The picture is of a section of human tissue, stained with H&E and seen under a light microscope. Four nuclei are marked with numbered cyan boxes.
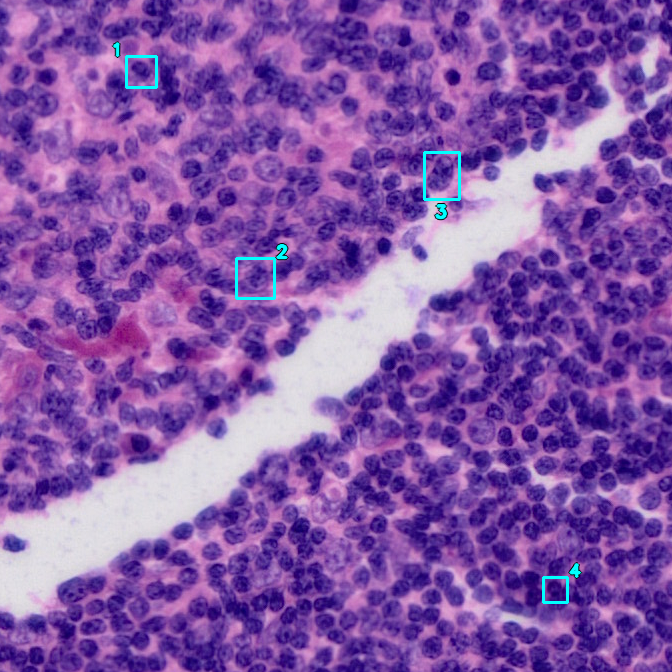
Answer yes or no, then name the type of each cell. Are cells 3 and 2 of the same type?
Yes, within the numbered set, cells 3 and 2 are both proliferating B cells.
